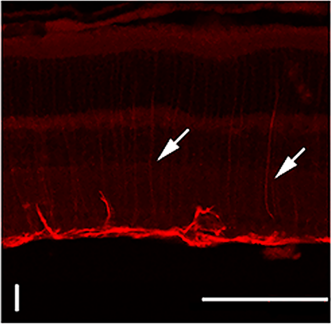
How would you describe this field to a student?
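Vertical section of retina with layers seen by faint red background: a broad dim outer nuclear layer at top, a thin brighter outer plexiform band, the inner nuclear layer, a wider inner plexiform layer, and a bright red band along the inner surface at the nerve fiber layer. This inner band is continuous and gives off short thick red processes. Numerous thin red fibers run radially from it through the inner plexiform and inner nuclear layers, some reaching toward the outer plexiform layer, consistent with glial reaction in the inner retina.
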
